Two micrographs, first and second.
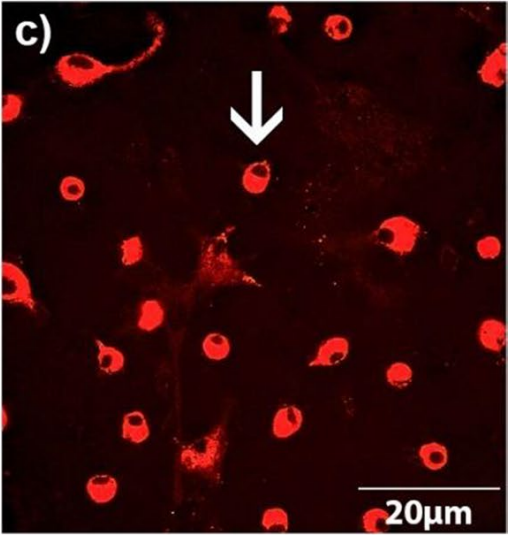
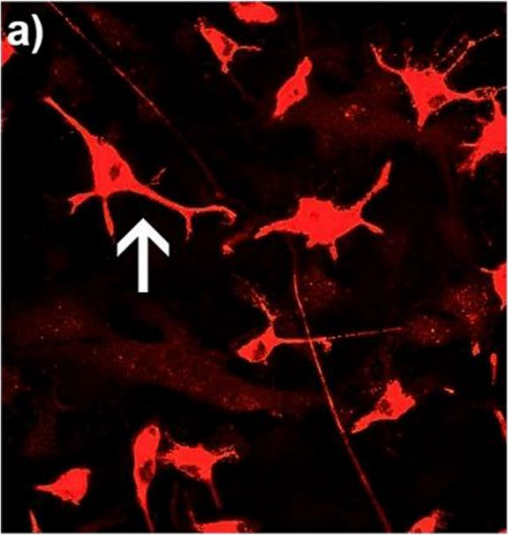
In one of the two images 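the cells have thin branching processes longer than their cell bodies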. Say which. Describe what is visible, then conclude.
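The second image. First image: most cells are round with few or no processes. Second image: many cells spread several long, thin, branching processes.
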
